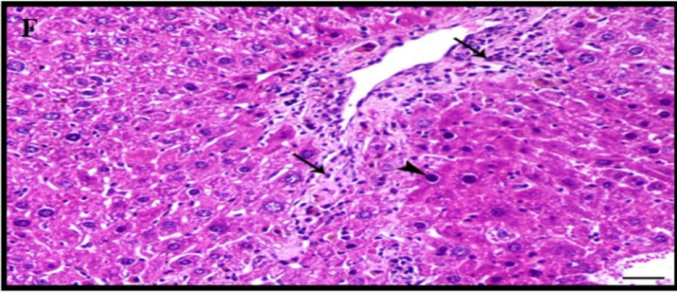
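Liver tissue with a portal vessel surrounded by a dense band of small, round, dark-nucleated mononuclear inflammatory cells and fibrous tissue. Around it, hepatocytes with pink cytoplasm and round nuclei form plates; some nuclei are dark and condensed.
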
